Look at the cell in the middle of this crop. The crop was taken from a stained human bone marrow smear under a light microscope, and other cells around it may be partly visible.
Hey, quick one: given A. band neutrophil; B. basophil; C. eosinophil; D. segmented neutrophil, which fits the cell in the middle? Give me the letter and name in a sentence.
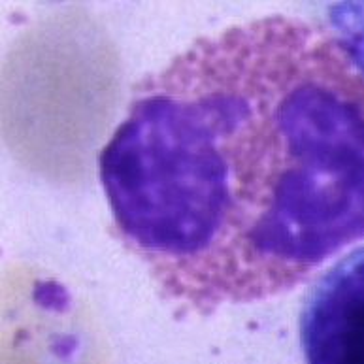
The cell placed in the middle is an eosinophil; option C is correct.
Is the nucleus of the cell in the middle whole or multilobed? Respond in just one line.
In short, this nucleus is segmented into two or more parts.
